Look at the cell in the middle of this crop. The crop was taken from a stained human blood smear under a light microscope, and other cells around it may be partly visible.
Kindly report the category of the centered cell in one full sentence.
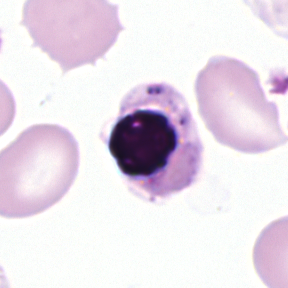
In the center of this field lies an erythroblast.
